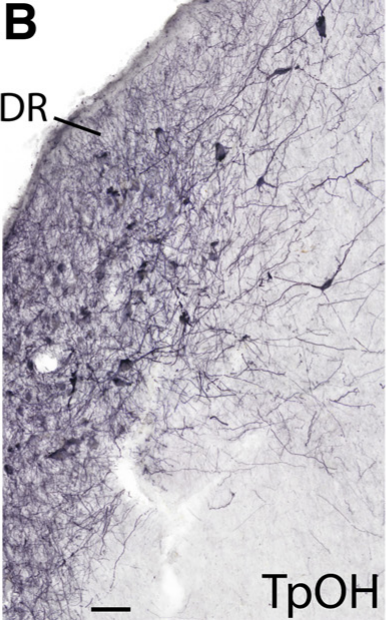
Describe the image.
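Toward the left edge of the field the stained cells and processes are so crowded that they form an almost continuous dark band, with many rounded and spindle-shaped somata embedded in it. Moving to the right the network thins out, and individual multipolar neurons stand apart, each sending several long, branching processes across the pale background. The contrast between the dense cluster at the edge and the sparse scattered cells laterally is the main feature of the field.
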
